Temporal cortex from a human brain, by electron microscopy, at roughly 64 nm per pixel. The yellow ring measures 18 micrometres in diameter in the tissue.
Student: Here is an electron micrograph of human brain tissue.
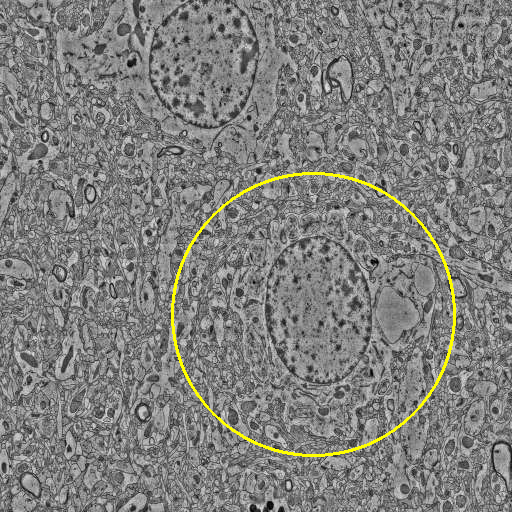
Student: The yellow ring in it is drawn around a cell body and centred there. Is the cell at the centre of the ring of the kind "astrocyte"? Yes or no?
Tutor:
yes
